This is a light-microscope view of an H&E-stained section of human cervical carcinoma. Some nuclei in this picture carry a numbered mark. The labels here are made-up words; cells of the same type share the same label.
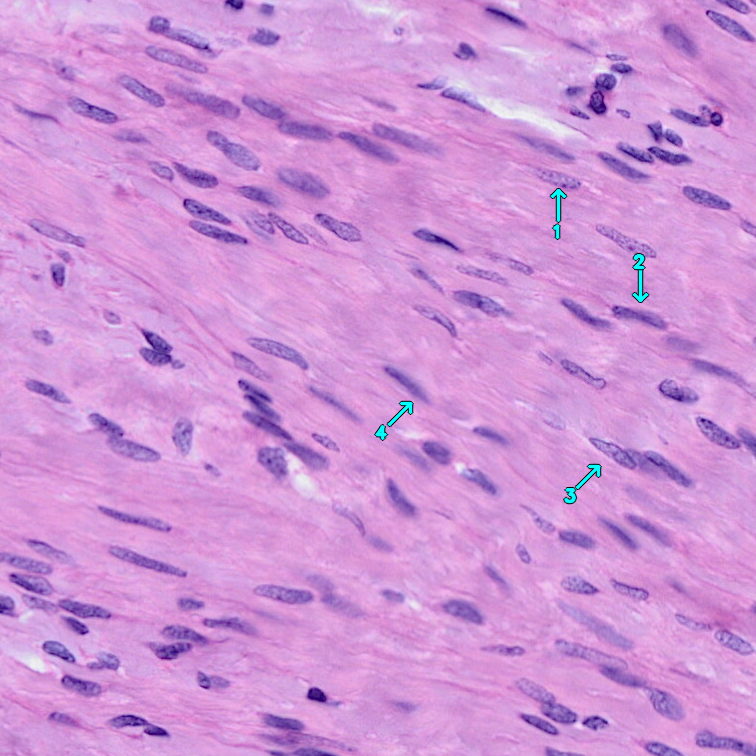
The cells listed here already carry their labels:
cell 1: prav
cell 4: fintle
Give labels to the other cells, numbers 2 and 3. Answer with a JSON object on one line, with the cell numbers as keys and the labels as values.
{"2": "fintle", "3": "fintle"}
